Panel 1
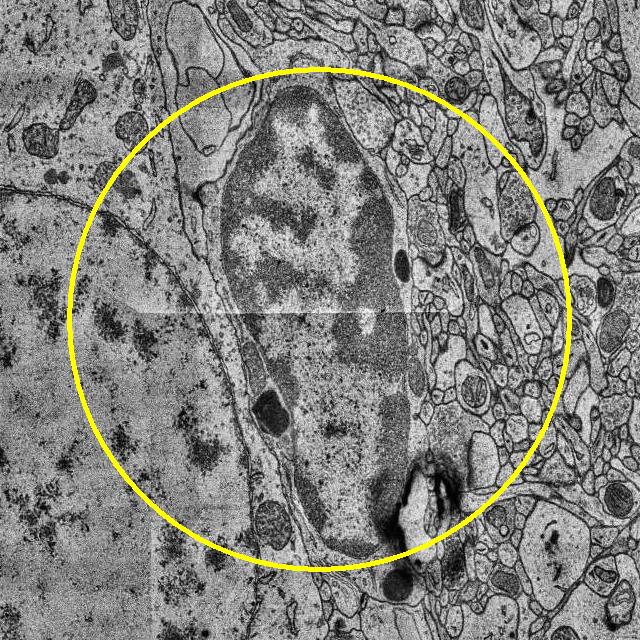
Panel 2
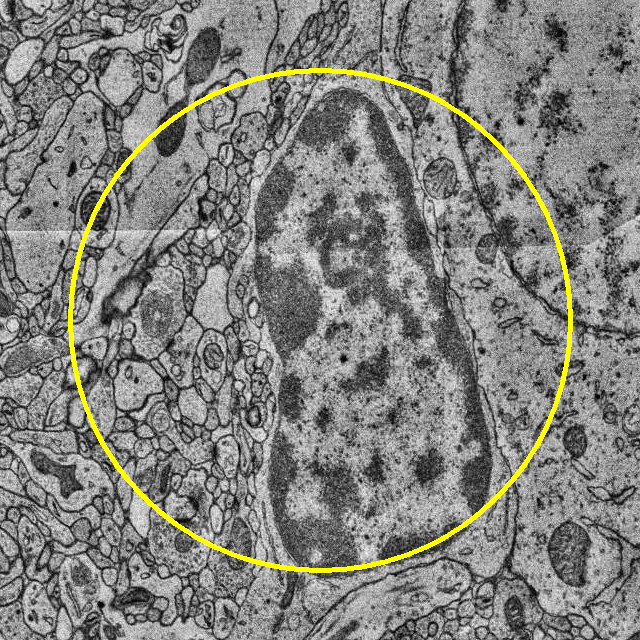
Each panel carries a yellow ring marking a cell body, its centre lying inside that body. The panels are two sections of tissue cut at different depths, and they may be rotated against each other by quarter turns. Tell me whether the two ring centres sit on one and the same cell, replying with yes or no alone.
yes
